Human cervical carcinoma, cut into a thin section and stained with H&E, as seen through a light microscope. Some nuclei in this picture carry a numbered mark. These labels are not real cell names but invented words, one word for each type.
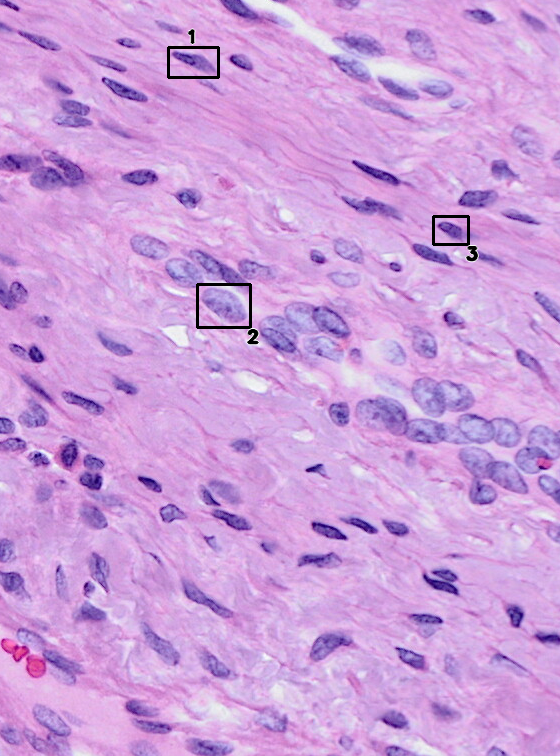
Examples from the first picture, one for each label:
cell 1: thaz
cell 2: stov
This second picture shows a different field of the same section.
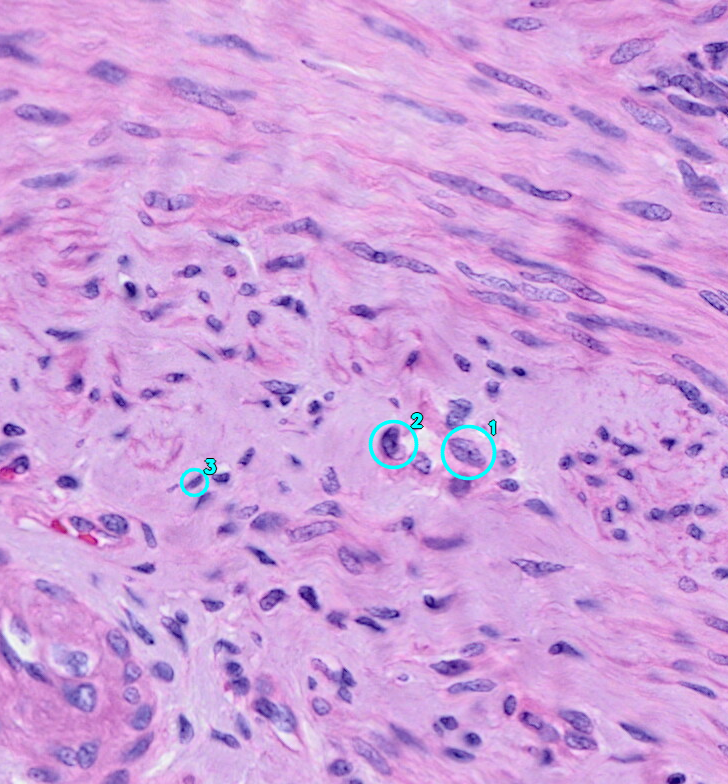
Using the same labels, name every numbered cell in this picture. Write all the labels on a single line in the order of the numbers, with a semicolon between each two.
stov; stov; thaz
